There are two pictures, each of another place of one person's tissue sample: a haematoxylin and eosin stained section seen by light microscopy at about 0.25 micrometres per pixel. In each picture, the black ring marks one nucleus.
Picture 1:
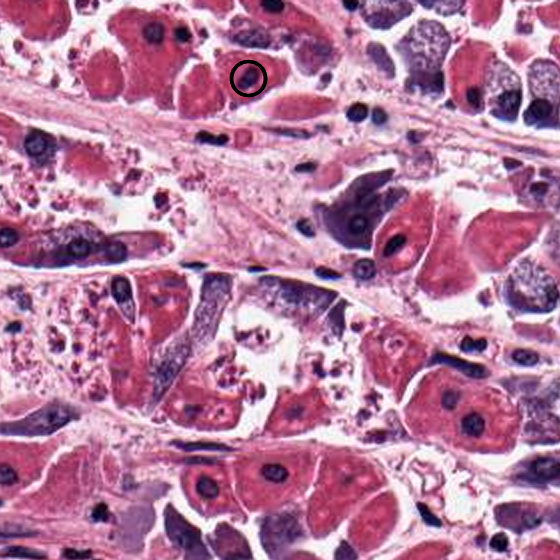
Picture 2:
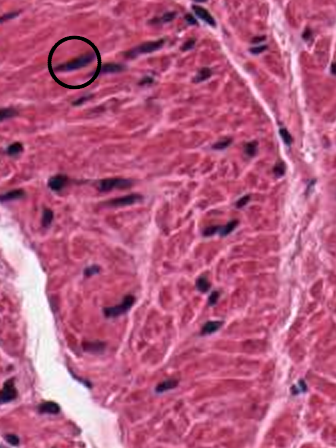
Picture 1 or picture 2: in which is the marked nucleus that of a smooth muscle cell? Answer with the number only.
2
